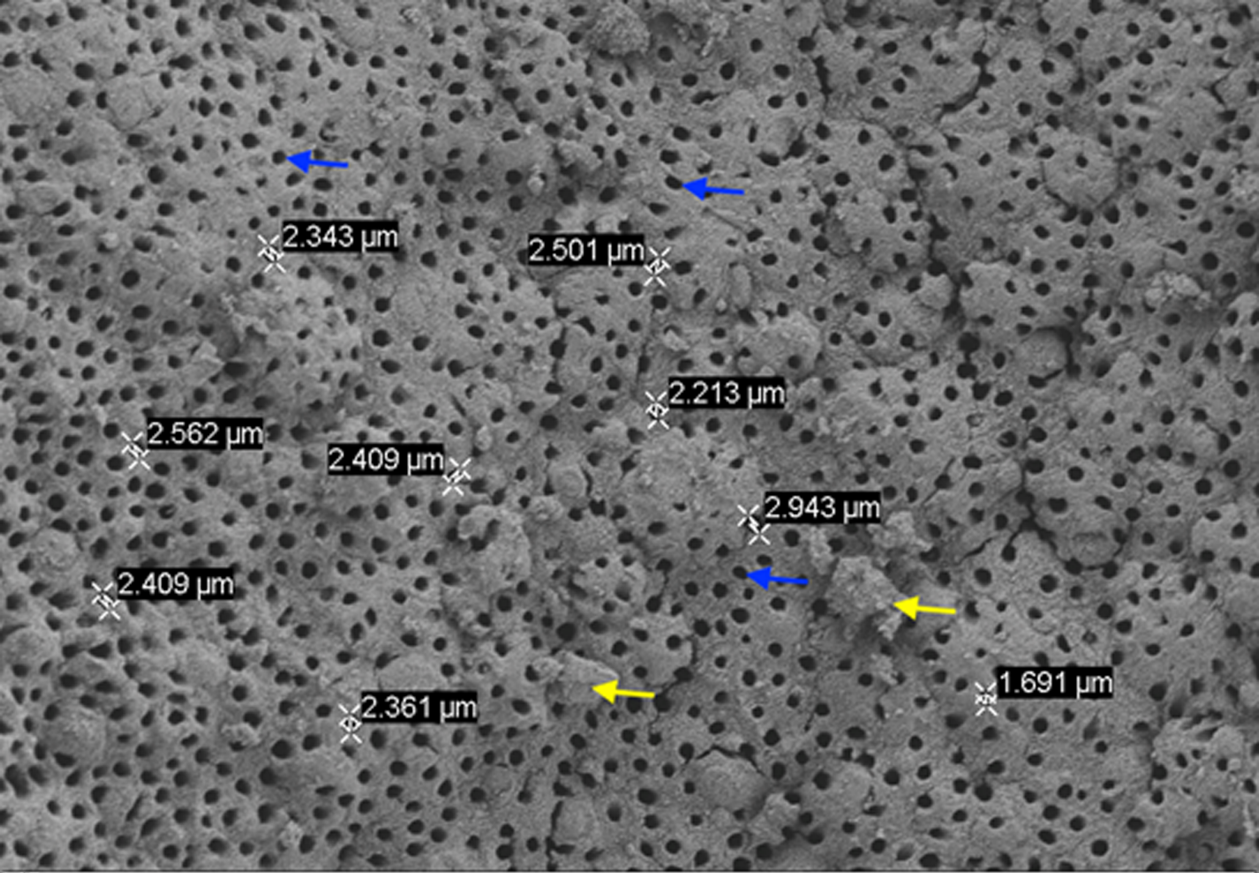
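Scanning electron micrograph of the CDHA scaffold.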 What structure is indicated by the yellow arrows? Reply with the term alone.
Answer: Debris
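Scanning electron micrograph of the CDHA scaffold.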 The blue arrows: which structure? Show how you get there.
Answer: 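Dentinal tubules. The surface is perforated by many small, round, dark openings of roughly similar size. The openings are densely and fairly evenly spread over the whole surface. The blue arrows point at these round dark openings.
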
